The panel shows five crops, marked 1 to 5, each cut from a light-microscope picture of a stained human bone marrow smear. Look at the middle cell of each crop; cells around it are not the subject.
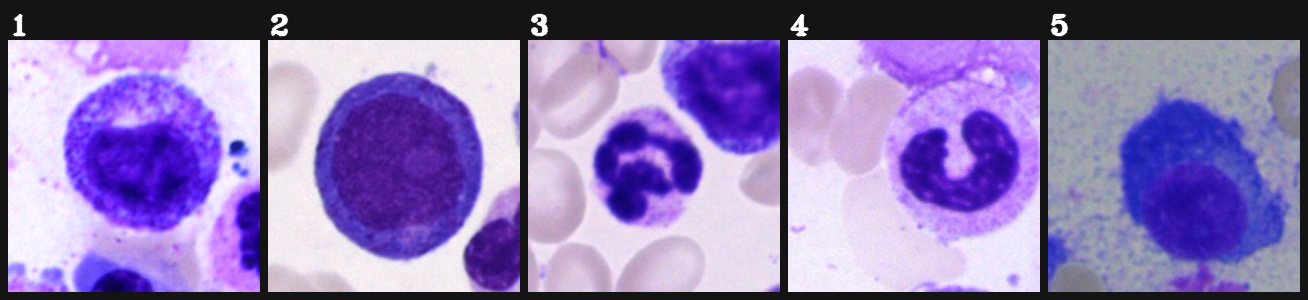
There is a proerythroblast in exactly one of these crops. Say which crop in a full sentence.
The crop carrying a proerythroblast at the center is crop 2.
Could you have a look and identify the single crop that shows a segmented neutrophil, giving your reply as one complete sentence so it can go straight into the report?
The crop with a segmented neutrophil in it is crop 3.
